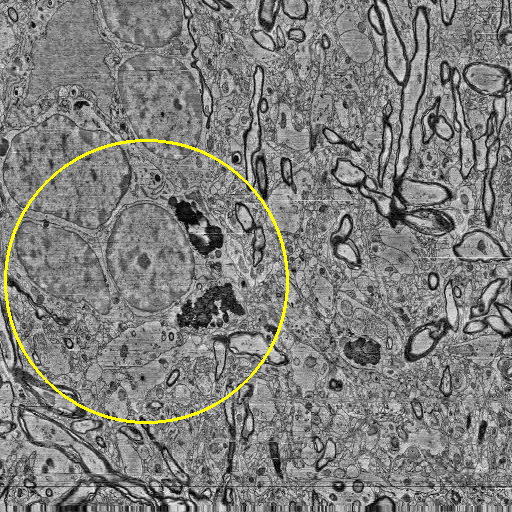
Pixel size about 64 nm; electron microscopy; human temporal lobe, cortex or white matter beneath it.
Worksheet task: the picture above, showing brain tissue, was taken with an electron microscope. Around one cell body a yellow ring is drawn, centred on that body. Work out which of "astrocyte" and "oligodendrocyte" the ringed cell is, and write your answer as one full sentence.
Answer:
It is an oligodendrocyte whose cell body lies at the centre of the yellow ring.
